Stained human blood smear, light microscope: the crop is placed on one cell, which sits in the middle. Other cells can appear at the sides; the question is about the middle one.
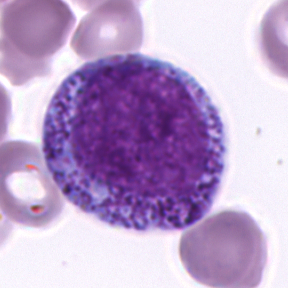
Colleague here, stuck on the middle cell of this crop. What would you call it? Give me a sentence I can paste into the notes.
On this slide crop, the central cell is a promyelocyte.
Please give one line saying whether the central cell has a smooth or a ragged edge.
A smooth, projection-free outline is what this cell has.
